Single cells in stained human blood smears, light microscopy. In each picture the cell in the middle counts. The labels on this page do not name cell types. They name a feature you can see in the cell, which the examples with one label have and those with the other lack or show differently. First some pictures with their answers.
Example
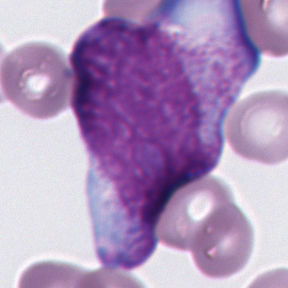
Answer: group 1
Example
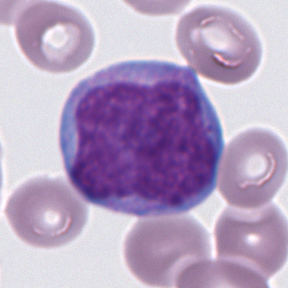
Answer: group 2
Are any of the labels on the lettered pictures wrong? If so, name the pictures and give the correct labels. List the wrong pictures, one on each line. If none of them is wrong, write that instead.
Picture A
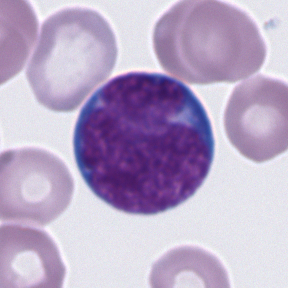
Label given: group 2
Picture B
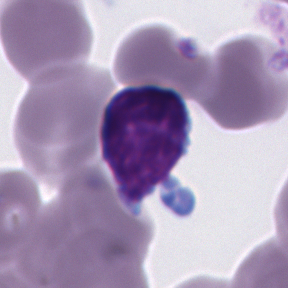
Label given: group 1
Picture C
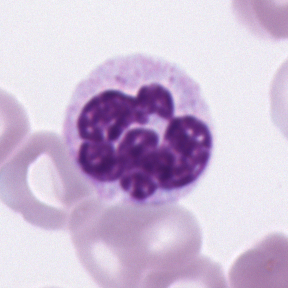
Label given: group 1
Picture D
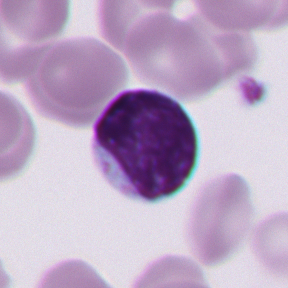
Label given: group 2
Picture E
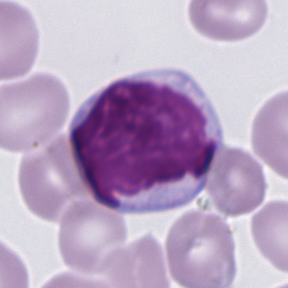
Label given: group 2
C is labelled group 1; correct label: group 2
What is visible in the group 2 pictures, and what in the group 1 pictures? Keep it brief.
group 2, smooth outline; group 1, ragged outline or projections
